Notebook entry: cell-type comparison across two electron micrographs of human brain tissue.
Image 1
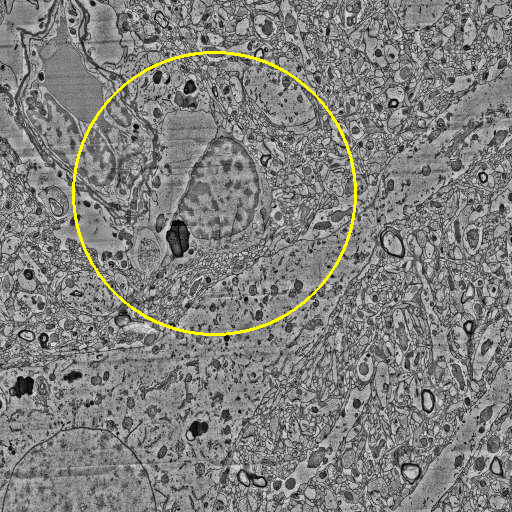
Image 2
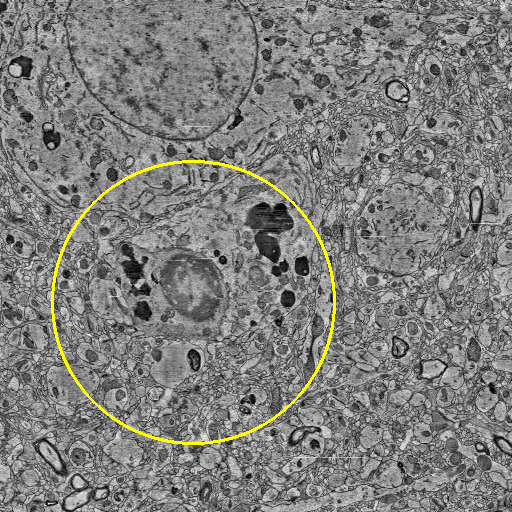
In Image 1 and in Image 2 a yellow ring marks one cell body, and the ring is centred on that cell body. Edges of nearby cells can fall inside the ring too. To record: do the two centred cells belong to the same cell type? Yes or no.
yes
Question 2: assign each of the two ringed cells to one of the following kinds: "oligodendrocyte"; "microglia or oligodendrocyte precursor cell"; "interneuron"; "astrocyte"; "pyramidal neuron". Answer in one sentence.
The cell in the first picture is an oligodendrocyte, and so is the one in the second.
